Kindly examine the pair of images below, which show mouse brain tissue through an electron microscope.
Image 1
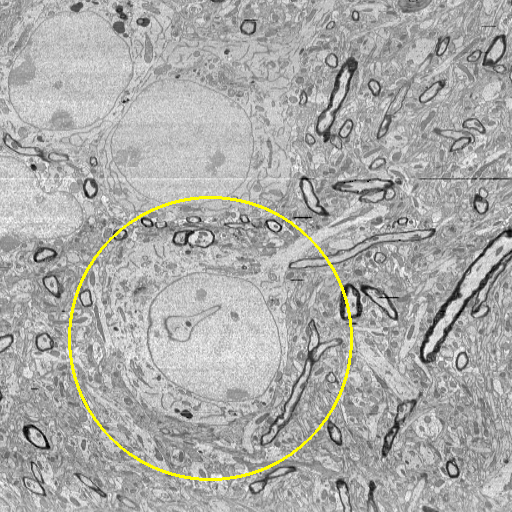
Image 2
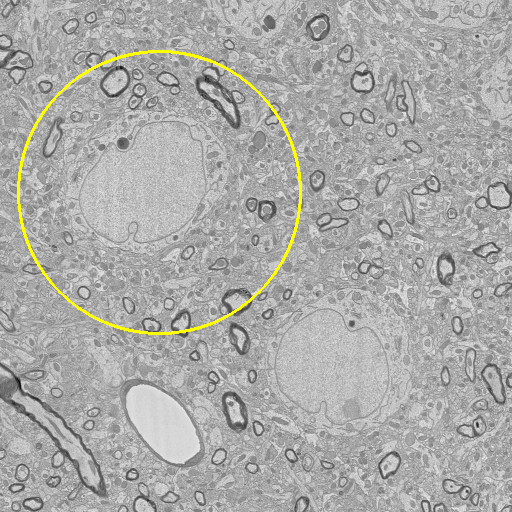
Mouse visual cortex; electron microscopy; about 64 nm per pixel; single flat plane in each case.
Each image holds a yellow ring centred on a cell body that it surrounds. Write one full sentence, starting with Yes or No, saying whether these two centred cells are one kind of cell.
Yes, both cells at the centres of the yellow rings belong to one kind of cell.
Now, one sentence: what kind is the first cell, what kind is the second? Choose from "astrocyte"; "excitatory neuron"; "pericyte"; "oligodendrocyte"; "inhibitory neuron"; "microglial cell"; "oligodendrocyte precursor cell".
The cell in the first picture is an excitatory neuron, and so is the one in the second.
